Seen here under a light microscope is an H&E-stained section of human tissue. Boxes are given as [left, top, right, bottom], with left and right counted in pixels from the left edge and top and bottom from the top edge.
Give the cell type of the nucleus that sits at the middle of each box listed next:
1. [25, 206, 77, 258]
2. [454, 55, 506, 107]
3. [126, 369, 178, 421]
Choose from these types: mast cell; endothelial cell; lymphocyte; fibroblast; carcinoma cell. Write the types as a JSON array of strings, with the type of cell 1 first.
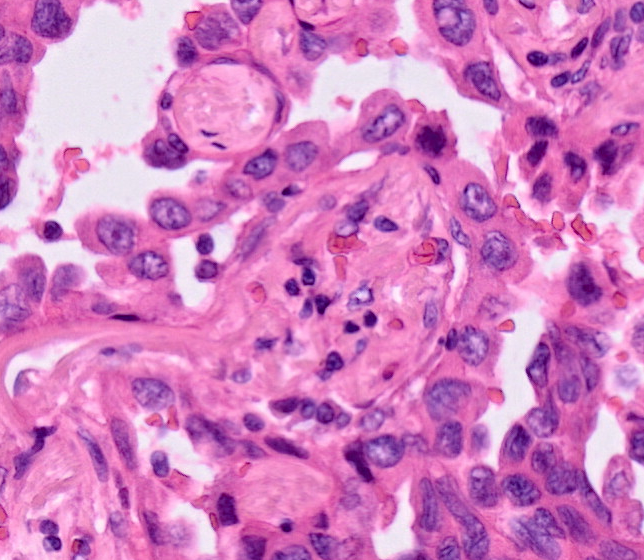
["lymphocyte", "carcinoma cell", "carcinoma cell"]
